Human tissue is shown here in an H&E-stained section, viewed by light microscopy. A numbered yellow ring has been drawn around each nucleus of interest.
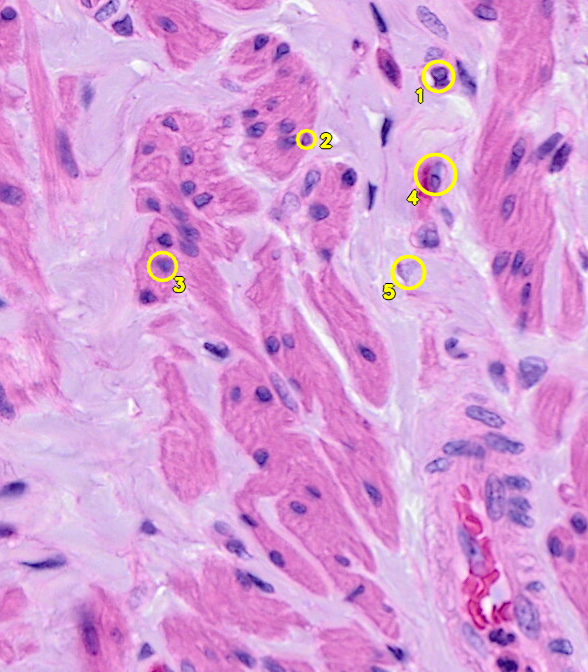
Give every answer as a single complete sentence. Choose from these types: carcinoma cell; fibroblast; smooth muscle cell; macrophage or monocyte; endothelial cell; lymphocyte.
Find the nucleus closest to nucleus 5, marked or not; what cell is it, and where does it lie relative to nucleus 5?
Lying above and to the right of nucleus 5, the nearest nucleus is that of an endothelial cell.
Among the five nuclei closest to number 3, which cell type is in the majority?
Smooth muscle cells make up most of the five nuclei closest to number 3.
